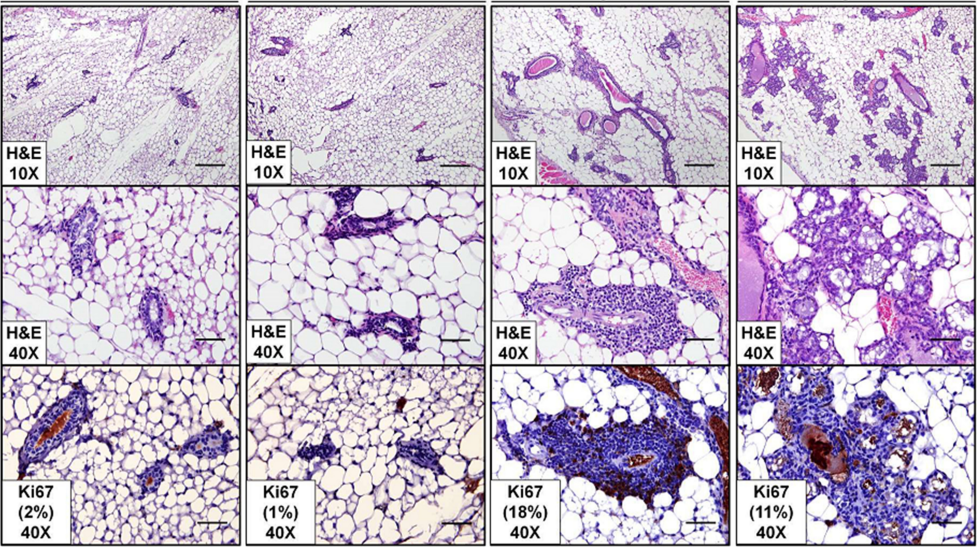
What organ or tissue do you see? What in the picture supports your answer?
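Mammary gland. Epithelial ducts lie scattered in tissue made mostly of large empty-looking fat cells. Some ducts have an open lumen lined by epithelium.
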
